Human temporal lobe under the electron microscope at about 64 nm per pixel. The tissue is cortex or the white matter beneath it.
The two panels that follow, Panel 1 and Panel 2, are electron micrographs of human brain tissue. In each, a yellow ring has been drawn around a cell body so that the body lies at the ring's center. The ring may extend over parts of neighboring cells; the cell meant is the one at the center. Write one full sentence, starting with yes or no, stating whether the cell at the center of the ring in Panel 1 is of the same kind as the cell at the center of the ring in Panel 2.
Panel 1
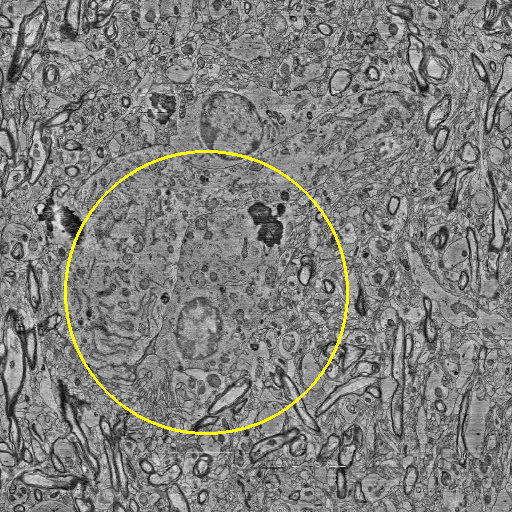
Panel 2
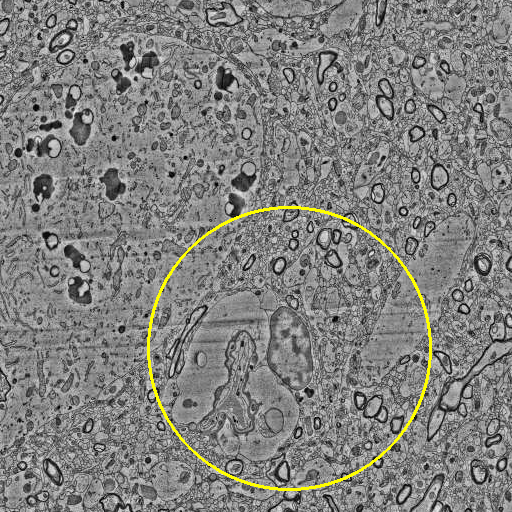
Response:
No, the cells in the two panels are of two kinds.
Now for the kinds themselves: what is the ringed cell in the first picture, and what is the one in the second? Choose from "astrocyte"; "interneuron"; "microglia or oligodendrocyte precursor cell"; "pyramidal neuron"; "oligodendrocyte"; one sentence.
Here the first cell is an oligodendrocyte and the second cell is a microglial cell or oligodendrocyte precursor cell.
